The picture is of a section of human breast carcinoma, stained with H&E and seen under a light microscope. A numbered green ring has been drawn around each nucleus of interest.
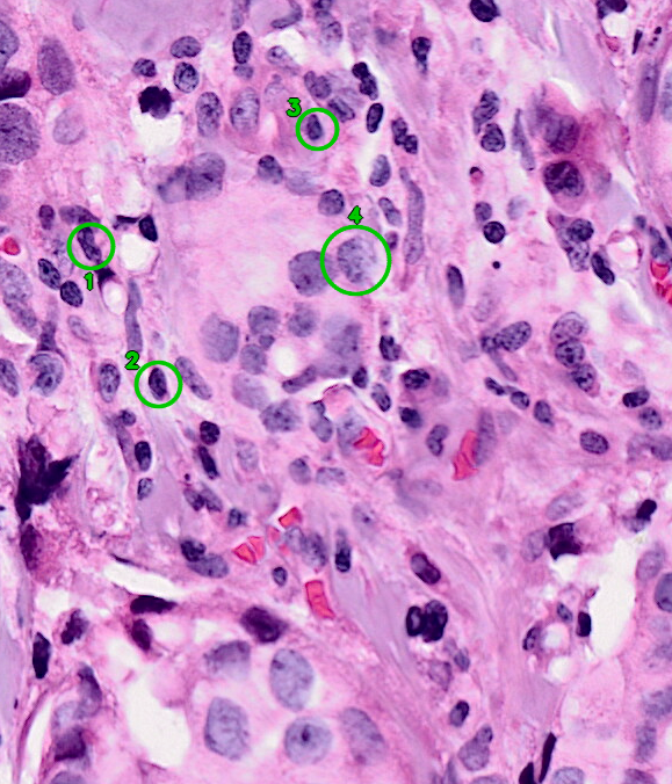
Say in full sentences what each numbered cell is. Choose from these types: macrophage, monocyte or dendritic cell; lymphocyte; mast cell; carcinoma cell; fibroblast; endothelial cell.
Cell 1 is a lymphocyte, cell 2 is a lymphocyte, cell 3 is a lymphocyte and cell 4 is a carcinoma cell.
